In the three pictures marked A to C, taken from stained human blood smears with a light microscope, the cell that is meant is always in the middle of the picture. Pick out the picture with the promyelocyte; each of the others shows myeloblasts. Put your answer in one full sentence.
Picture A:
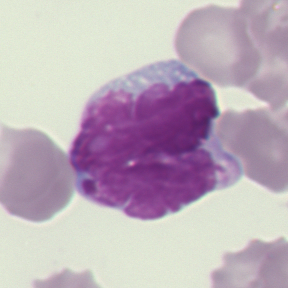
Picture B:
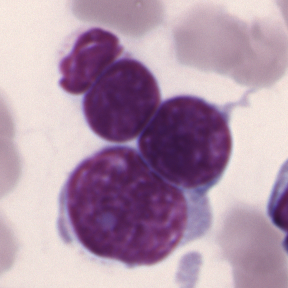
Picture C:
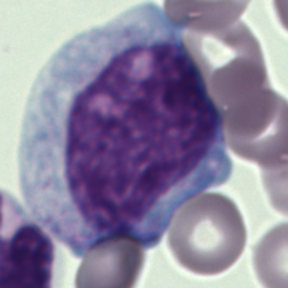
It is picture C that shows the promyelocyte.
